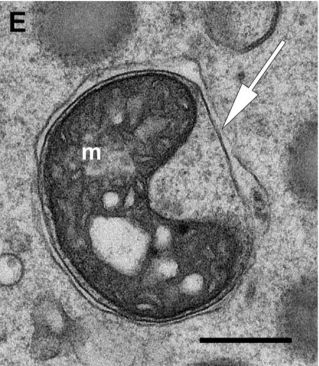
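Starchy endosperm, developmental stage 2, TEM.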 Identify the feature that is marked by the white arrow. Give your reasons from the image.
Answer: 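A double membrane wraps around a dense, cristae-bearing organelle. The arrow points to the enclosing membrane.
Hence: Autophagosomes.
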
